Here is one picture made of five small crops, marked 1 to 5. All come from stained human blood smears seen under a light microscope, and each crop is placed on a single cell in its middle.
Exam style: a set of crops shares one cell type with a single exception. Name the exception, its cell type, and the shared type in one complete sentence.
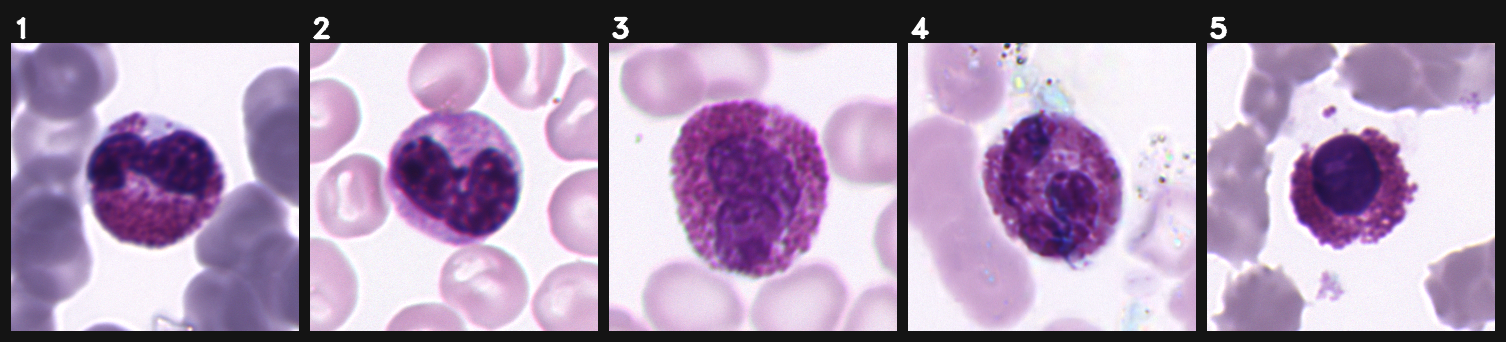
Crop 2 is singled out as a band neutrophil, and all of the other crops show eosinophils.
